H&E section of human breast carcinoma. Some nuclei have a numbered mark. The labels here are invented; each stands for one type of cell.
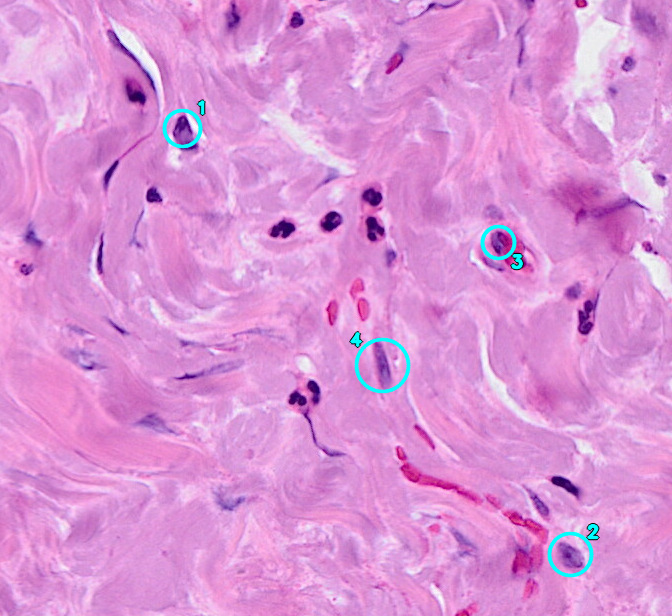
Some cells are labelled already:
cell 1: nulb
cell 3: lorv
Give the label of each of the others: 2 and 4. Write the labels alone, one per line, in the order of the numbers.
nulb
nulb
